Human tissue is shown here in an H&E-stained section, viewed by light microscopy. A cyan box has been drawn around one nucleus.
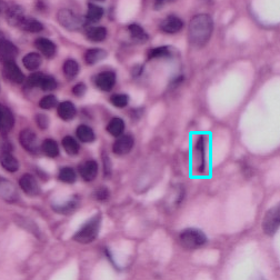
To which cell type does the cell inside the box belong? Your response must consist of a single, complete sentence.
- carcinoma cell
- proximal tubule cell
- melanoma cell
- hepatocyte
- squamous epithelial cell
What the cell inside the box represents is a squamous epithelial cell.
